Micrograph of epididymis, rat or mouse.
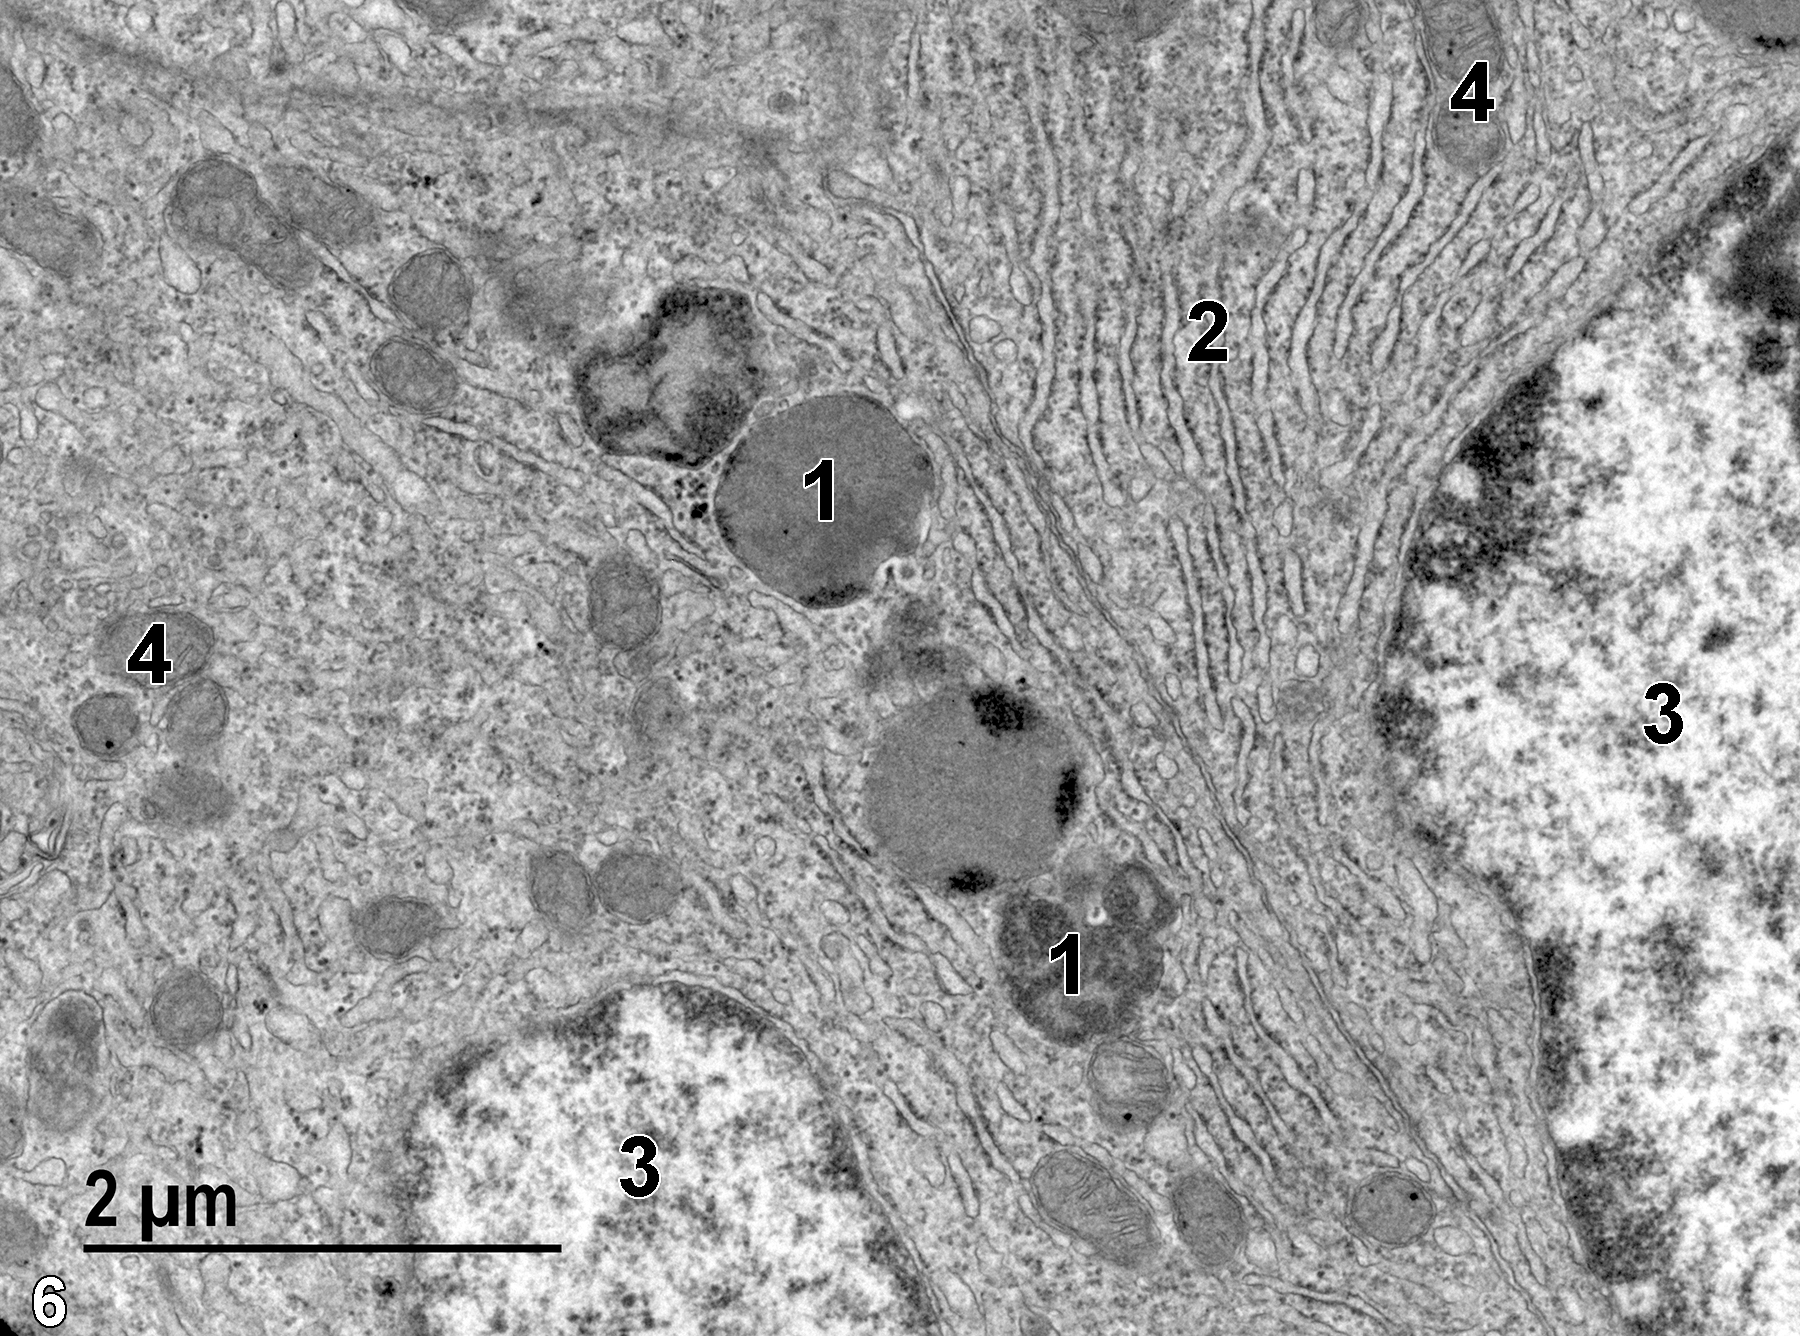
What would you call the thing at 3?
nuclei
